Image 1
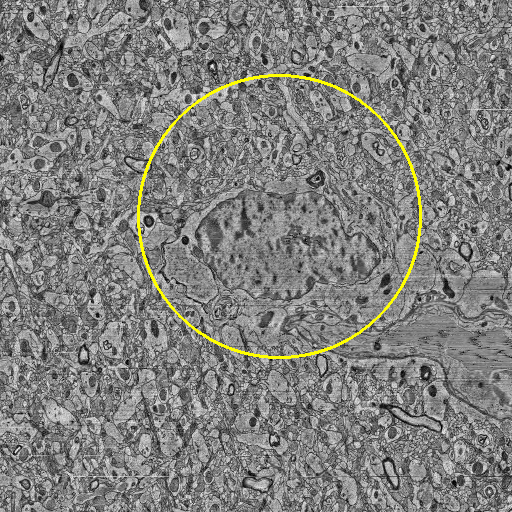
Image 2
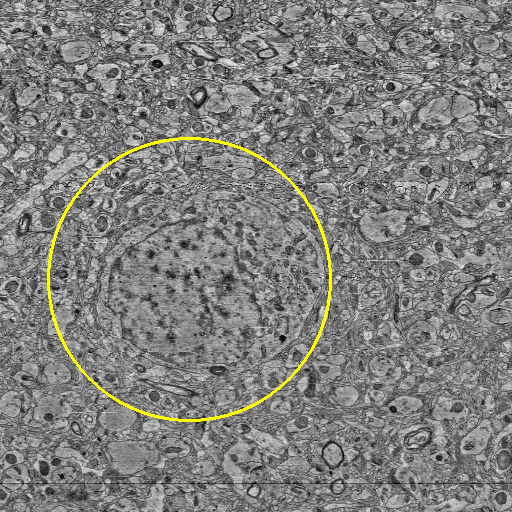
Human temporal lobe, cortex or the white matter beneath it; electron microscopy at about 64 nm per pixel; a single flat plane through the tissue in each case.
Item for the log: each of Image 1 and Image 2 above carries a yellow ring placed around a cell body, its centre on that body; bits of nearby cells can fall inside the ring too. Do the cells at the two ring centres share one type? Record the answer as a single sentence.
No, the two cells at the ring centres in Image 1 and Image 2 are of two types.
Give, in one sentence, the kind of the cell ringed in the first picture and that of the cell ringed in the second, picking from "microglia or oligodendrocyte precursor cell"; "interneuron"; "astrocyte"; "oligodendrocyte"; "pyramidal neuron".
For the first picture it is a microglial cell or oligodendrocyte precursor cell; for the second, an interneuron.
